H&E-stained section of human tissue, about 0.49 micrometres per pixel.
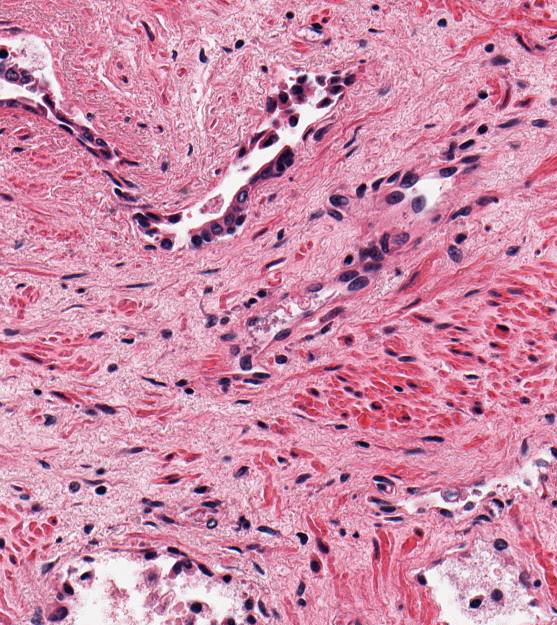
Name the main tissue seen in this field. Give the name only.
fibromuscular stroma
